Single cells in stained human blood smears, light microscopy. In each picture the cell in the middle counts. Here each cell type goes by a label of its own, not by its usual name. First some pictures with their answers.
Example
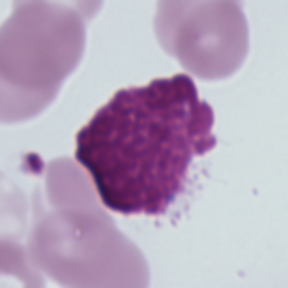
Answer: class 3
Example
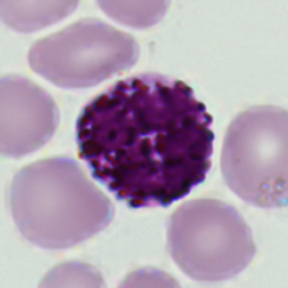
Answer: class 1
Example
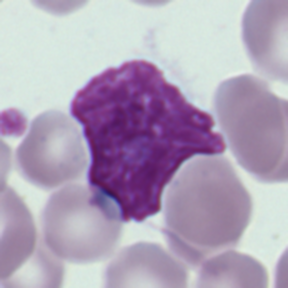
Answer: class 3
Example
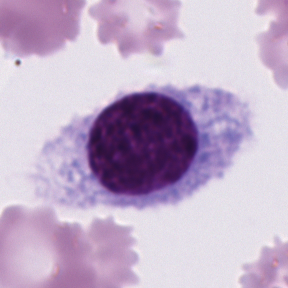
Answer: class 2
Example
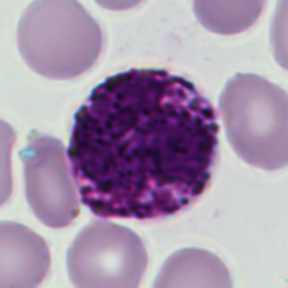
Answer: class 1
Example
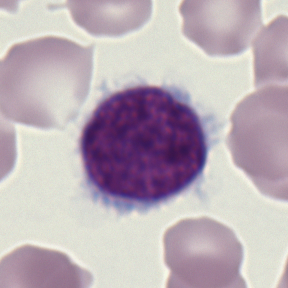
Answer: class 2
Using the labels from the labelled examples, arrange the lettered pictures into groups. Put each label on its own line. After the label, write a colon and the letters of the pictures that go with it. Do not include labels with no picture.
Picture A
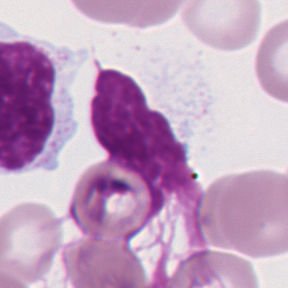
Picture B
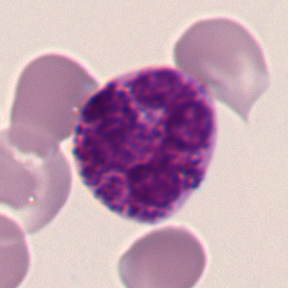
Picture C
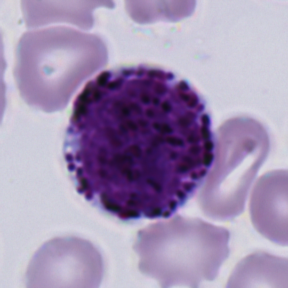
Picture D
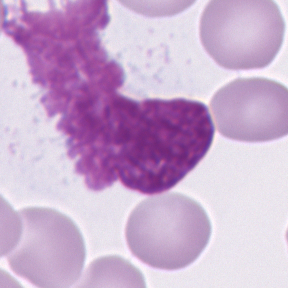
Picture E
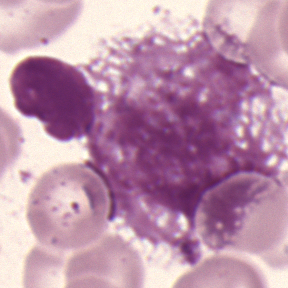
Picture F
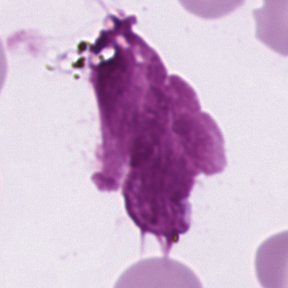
class 3: A, D, E, F
class 1: B, C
